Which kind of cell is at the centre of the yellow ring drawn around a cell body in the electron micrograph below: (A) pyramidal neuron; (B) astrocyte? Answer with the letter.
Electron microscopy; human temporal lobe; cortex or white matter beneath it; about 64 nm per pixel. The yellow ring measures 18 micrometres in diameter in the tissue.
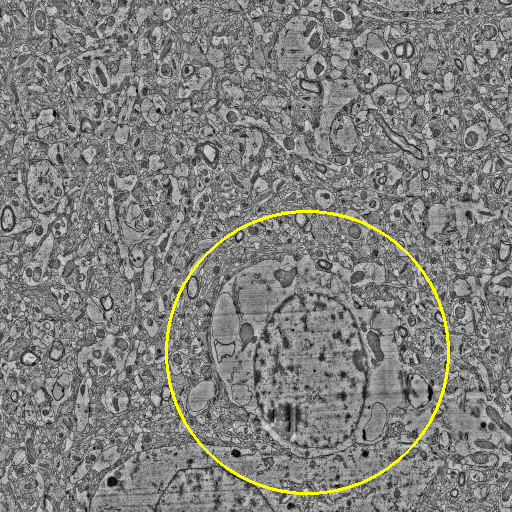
B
